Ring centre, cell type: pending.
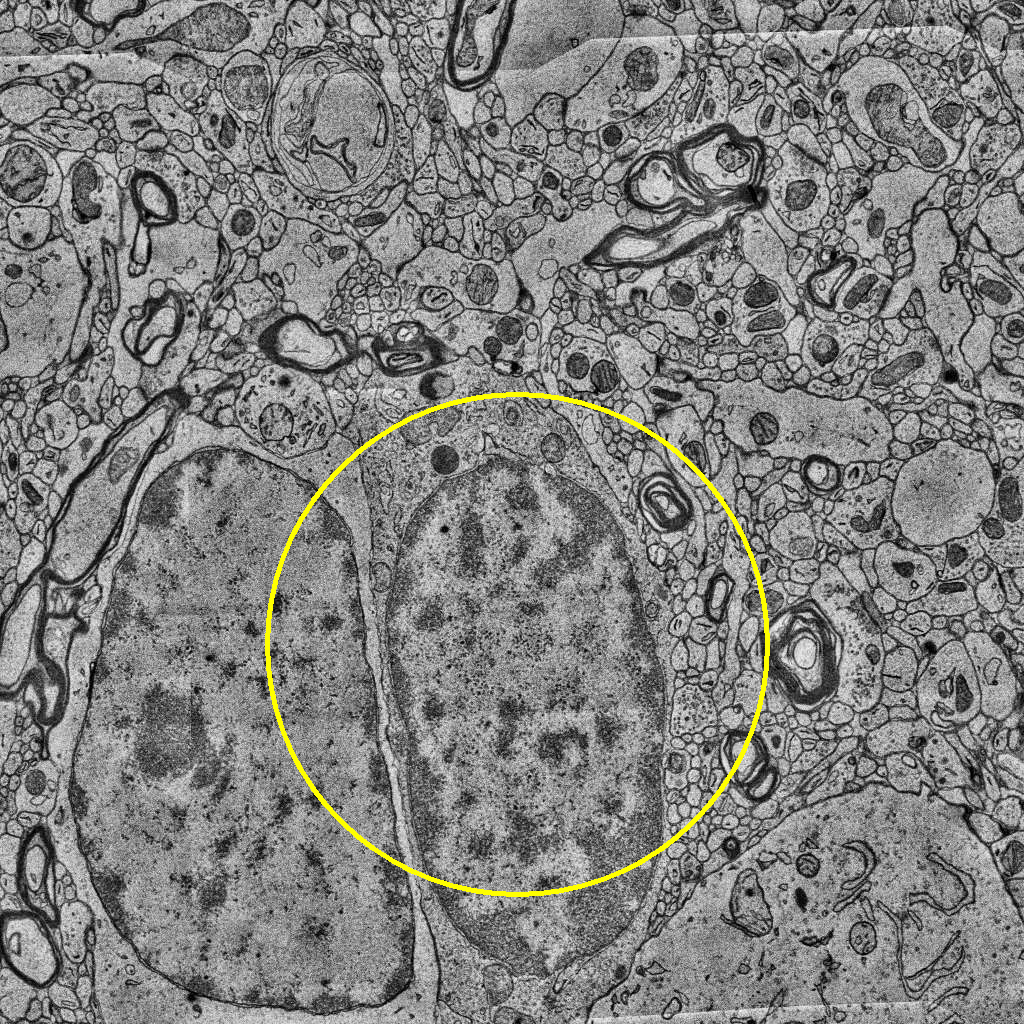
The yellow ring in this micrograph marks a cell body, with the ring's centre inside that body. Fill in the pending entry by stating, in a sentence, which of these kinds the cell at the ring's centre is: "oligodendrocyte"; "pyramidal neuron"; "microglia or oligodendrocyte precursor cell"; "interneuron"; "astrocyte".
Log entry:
The cell at the ring's centre is recorded as an oligodendrocyte.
